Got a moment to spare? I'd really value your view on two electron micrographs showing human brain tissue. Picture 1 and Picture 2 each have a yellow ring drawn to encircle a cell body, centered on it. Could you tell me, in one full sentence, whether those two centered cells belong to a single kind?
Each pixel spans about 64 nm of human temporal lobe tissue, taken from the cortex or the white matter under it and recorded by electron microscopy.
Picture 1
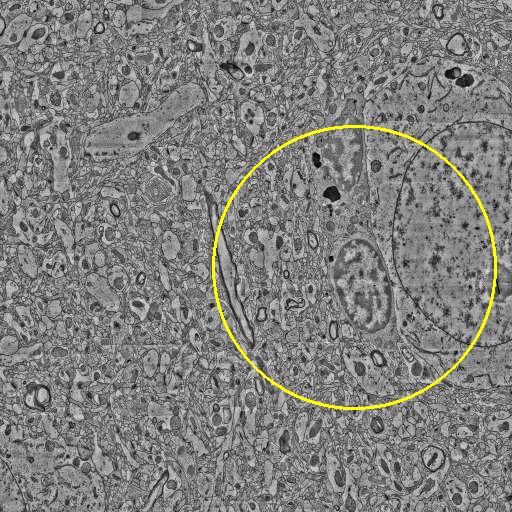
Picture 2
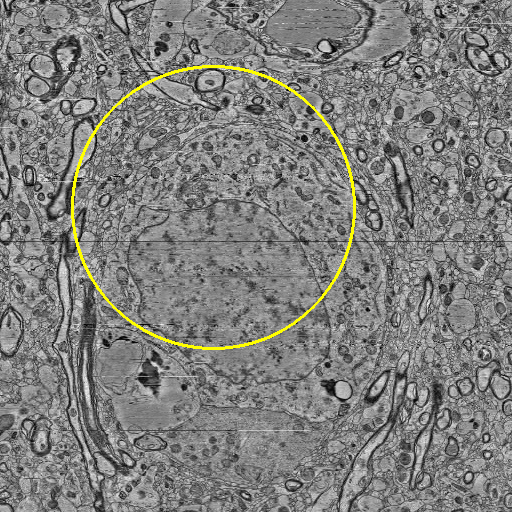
No, the two centered cells in Picture 1 and Picture 2 are of two kinds.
